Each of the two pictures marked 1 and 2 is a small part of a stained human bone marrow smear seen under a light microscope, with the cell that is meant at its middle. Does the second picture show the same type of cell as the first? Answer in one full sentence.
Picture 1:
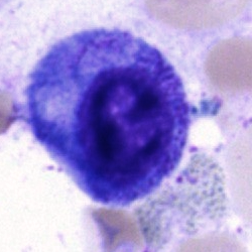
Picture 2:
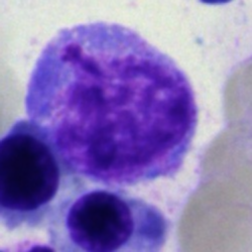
No; the cell in picture 1 is a promyelocyte, while the one in picture 2 is a monocyte.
